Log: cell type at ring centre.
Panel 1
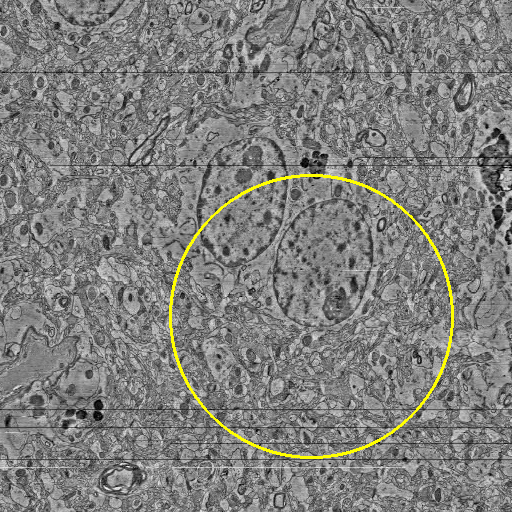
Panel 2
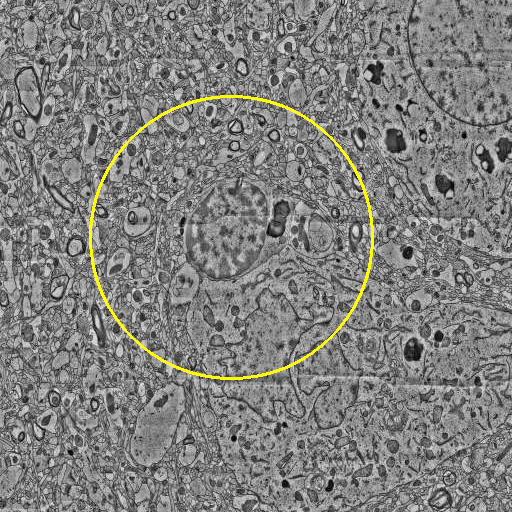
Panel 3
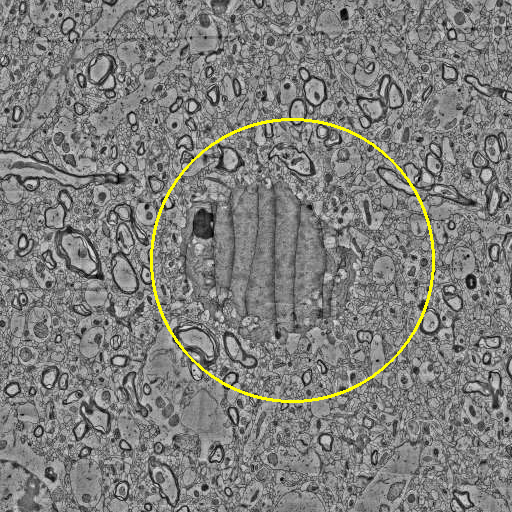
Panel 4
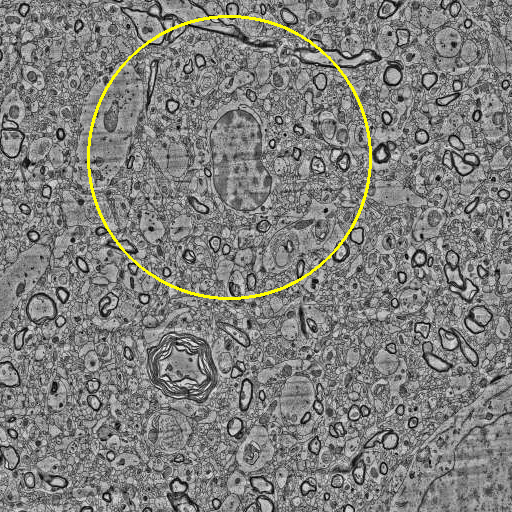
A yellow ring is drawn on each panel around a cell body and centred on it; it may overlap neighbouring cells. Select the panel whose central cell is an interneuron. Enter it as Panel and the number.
Panel 3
